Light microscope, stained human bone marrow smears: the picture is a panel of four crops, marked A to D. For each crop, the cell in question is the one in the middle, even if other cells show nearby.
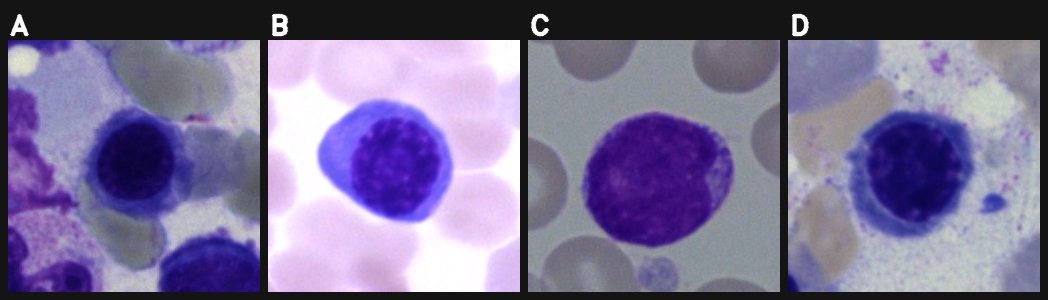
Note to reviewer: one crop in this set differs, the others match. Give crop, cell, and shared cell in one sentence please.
Crop C differs: it is a blast, and all the other crops show erythroblasts.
